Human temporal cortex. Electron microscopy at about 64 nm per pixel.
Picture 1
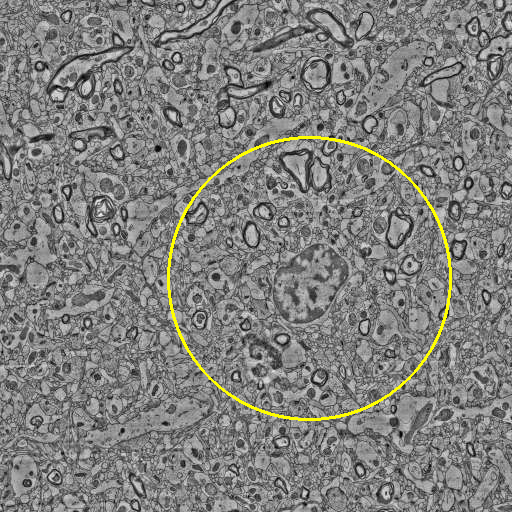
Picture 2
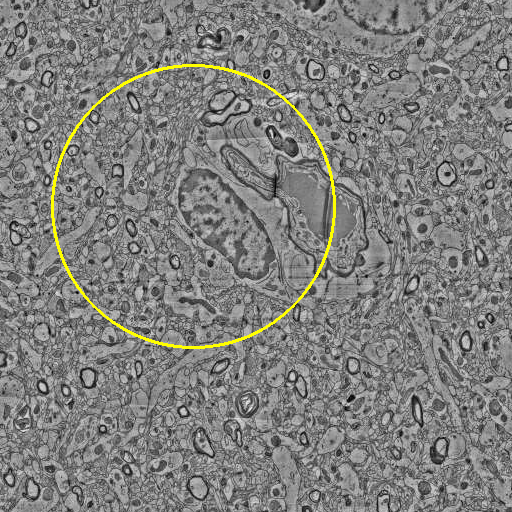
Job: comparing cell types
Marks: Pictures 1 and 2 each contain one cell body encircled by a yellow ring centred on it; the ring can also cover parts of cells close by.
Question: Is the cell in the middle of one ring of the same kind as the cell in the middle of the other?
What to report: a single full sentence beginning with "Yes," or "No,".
Yes, the cell at the ring centre in Picture 1 and its partner in Picture 2 are of one kind.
